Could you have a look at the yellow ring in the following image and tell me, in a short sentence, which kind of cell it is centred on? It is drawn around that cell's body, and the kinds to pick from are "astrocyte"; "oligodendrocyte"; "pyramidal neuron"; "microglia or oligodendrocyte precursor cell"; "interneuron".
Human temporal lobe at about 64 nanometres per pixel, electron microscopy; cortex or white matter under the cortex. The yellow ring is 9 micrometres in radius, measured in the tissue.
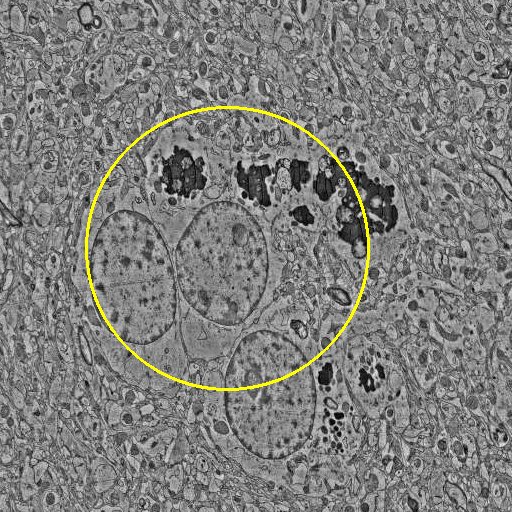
The ring is centred on the body of an astrocyte.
